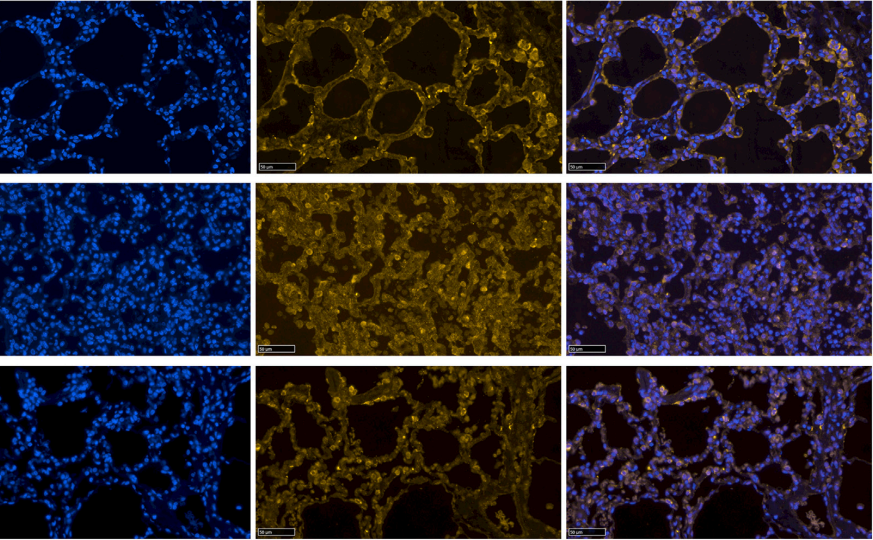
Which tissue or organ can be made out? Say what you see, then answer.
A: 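Lung tissue. Thin walls outline many large round empty spaces. Blue nuclei line the thin walls.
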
